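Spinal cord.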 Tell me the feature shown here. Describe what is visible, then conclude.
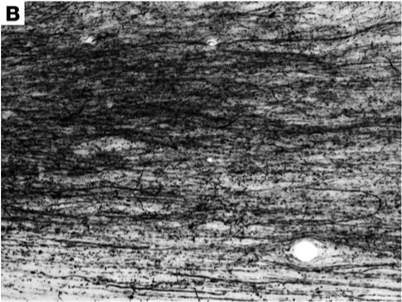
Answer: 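Axons. Many thin dark fibers run roughly in parallel across the panel. The fibers are so densely packed they form a dark meshwork.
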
